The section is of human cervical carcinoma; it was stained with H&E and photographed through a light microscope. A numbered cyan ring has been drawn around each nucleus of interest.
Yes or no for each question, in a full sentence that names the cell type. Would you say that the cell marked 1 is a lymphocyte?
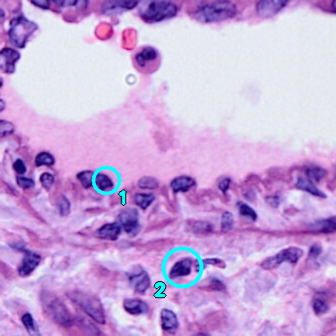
No, cell 1 is not a lymphocyte; it is an endothelial cell.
